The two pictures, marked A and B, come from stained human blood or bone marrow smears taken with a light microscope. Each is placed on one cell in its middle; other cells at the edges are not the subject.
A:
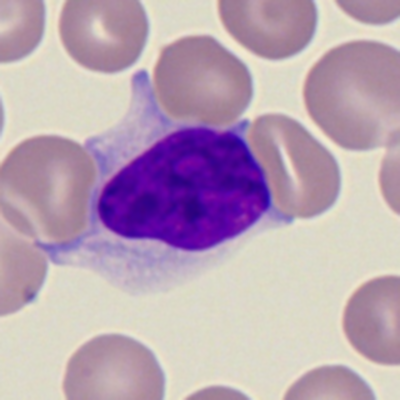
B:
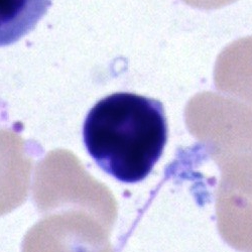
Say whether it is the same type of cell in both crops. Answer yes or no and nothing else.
yes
